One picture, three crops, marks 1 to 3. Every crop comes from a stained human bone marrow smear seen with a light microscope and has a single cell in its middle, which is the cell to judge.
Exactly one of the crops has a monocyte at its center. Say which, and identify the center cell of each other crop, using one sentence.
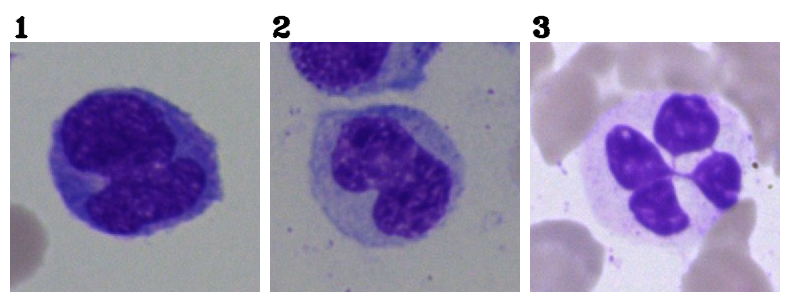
In the case of crop 1, the cell is a monocyte, while crop 2 is a band neutrophil and crop 3 is a segmented neutrophil.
